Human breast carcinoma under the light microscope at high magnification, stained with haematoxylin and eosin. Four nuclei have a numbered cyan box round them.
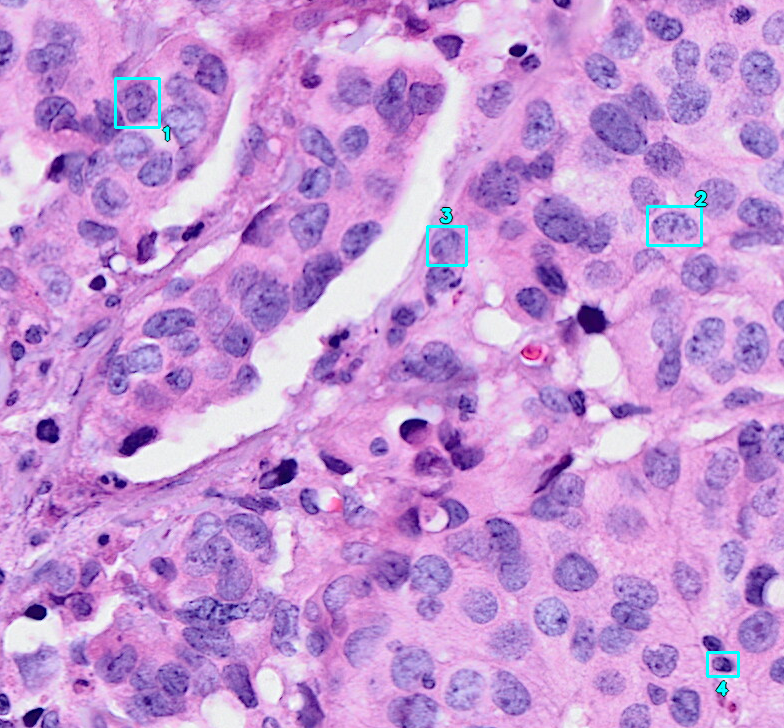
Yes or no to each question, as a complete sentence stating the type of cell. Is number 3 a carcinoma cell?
Yes, the cell corresponding to number 3 is a carcinoma cell.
